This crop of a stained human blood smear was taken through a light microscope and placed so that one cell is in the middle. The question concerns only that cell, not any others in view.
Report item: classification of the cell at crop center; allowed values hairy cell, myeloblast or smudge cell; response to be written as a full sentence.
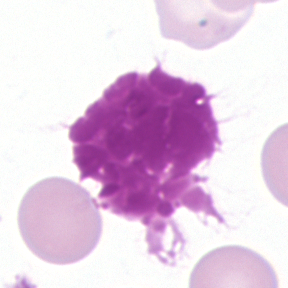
The crop shows a smudge cell in its centre.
